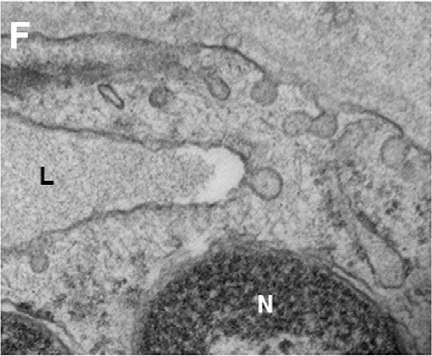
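High-magnification view of a capillary endothelial cell beside its lumen. The lower part of the field holds part of the nucleus with dense granular chromatin. Thin cytoplasmic processes bound the lumen. Many round membrane-bound vesicles line the cell membranes, some appearing to open onto the surfaces. The lumen contains pale finely granular material.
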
